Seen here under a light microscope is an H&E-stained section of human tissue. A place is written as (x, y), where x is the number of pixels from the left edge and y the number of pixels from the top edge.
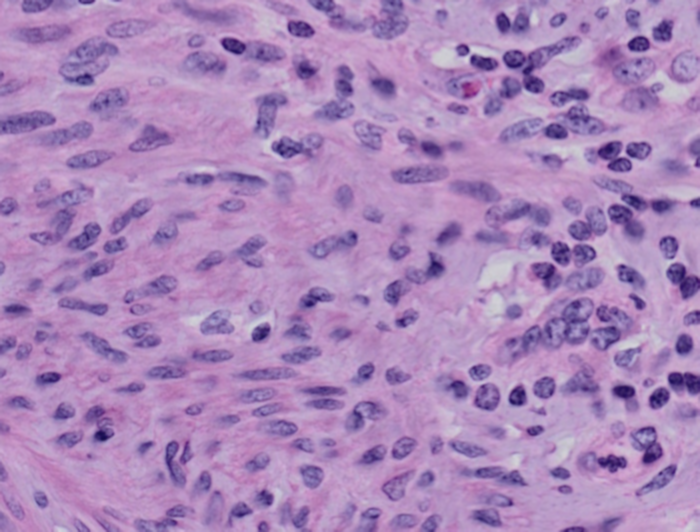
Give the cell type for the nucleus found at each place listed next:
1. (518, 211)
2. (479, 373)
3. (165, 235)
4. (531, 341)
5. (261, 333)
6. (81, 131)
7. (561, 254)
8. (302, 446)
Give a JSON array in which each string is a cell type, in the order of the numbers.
["fibroblast", "lymphocyte", "smooth muscle cell", "endothelial cell", "lymphocyte", "smooth muscle cell", "lymphocyte", "smooth muscle cell"]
